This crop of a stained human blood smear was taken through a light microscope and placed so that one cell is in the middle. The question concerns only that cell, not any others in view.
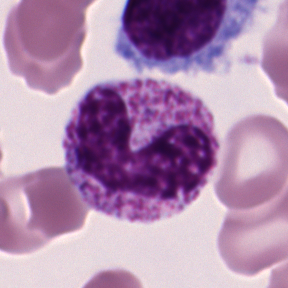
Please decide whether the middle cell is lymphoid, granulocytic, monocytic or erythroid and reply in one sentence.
Lineage result for the cell in the middle of the crop: granulocytic.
